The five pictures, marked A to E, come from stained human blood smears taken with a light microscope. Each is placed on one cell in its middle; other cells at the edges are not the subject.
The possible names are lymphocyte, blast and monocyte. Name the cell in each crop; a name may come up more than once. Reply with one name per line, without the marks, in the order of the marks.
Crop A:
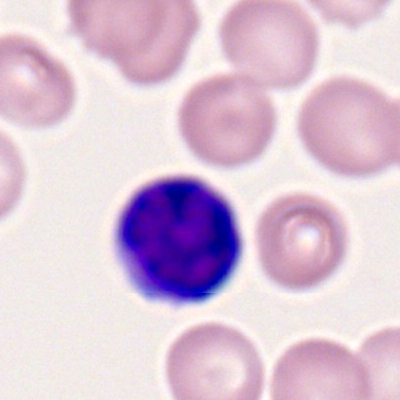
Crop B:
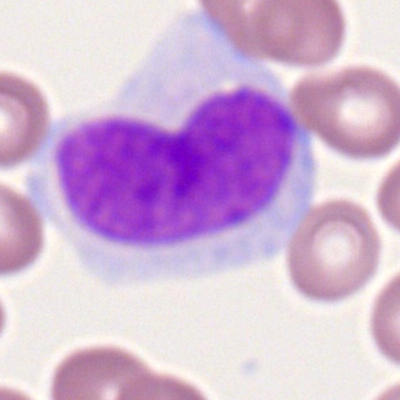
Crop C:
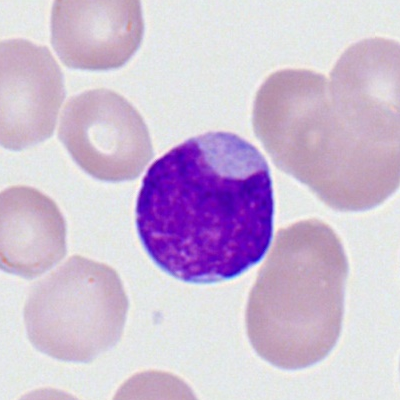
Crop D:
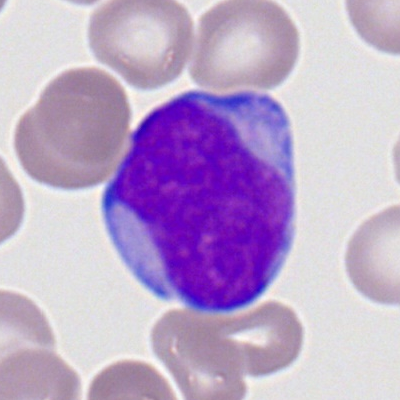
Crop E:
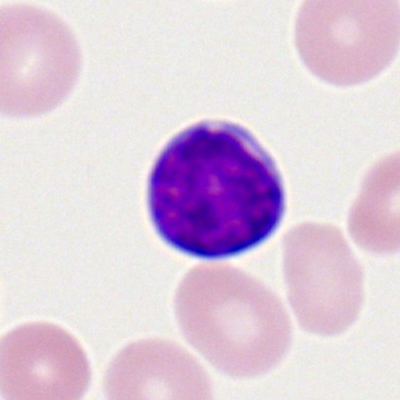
lymphocyte
monocyte
blast
blast
lymphocyte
